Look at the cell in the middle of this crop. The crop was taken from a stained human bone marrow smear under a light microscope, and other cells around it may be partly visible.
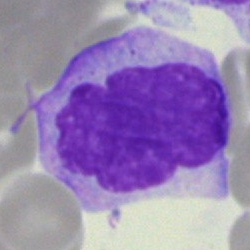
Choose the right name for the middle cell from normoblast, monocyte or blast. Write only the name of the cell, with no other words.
monocyte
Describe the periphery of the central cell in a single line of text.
The cell is bounded by a ragged or projection-bearing margin rather than a smooth one.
